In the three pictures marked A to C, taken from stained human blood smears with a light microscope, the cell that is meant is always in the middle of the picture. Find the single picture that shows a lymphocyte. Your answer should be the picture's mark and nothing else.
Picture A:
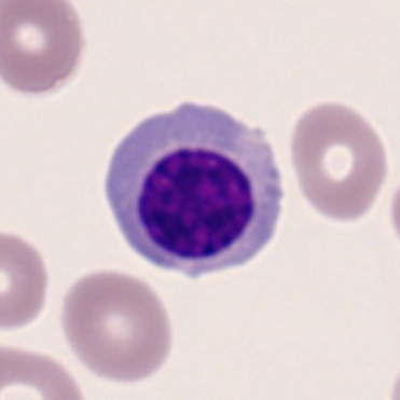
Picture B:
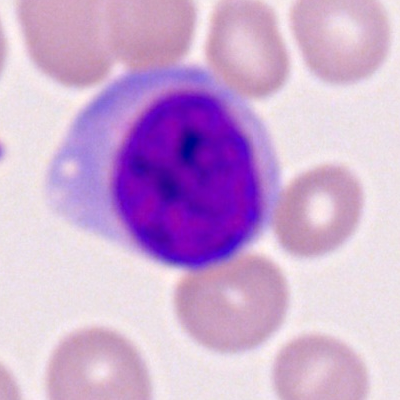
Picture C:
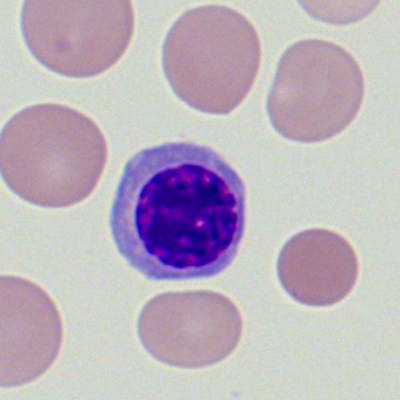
B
